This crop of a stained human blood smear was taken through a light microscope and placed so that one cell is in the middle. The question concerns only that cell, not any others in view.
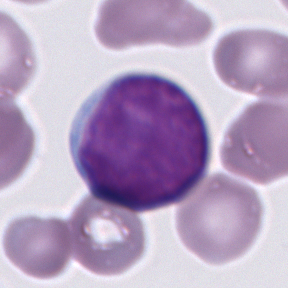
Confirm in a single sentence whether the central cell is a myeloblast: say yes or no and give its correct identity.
Yes, the cell in the middle of this smear crop is a myeloblast.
